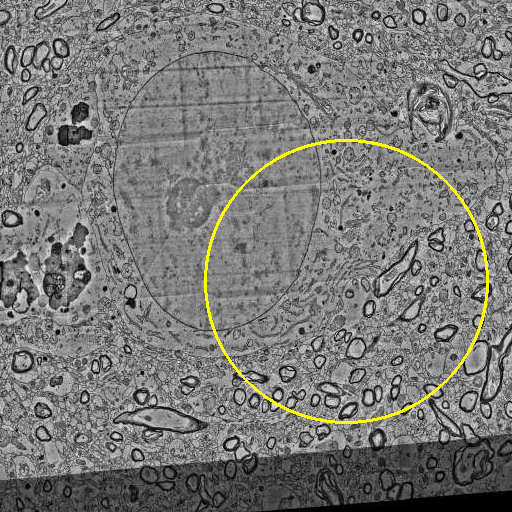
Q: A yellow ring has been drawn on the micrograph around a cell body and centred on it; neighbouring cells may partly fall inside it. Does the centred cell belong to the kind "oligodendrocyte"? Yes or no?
No, it belongs to another kind.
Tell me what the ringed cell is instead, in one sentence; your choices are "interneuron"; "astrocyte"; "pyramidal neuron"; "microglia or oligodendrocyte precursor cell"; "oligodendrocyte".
The cell at the ring centre is a microglial cell or oligodendrocyte precursor cell.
